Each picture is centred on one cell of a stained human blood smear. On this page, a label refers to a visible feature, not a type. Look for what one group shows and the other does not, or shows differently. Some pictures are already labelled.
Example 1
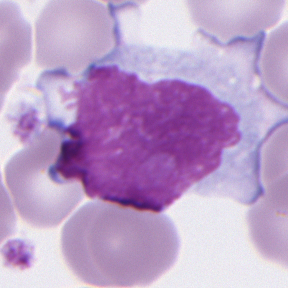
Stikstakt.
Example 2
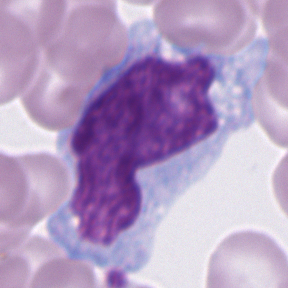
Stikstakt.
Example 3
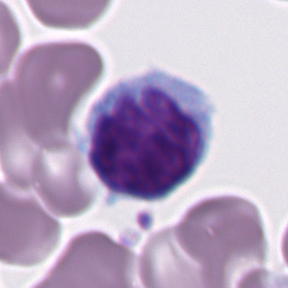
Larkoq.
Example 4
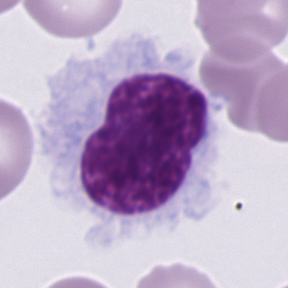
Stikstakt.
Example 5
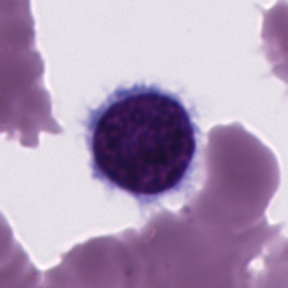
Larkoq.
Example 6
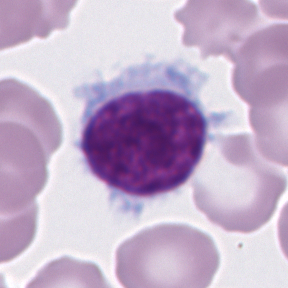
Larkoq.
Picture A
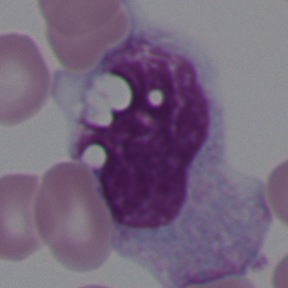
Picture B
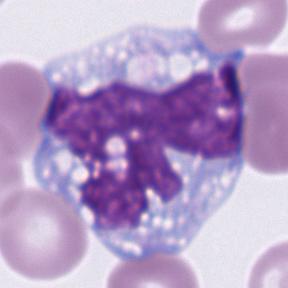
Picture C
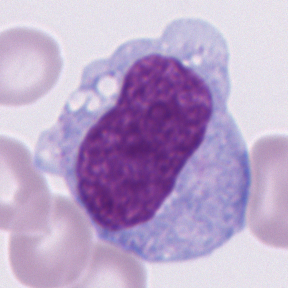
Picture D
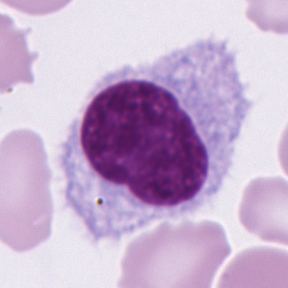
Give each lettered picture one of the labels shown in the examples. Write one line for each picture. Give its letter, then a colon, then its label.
A: Stikstakt.
B: Stikstakt.
C: Stikstakt.
D: Stikstakt.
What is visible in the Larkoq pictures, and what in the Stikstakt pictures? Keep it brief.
Larkoq, scant cytoplasm; Stikstakt, abundant cytoplasm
